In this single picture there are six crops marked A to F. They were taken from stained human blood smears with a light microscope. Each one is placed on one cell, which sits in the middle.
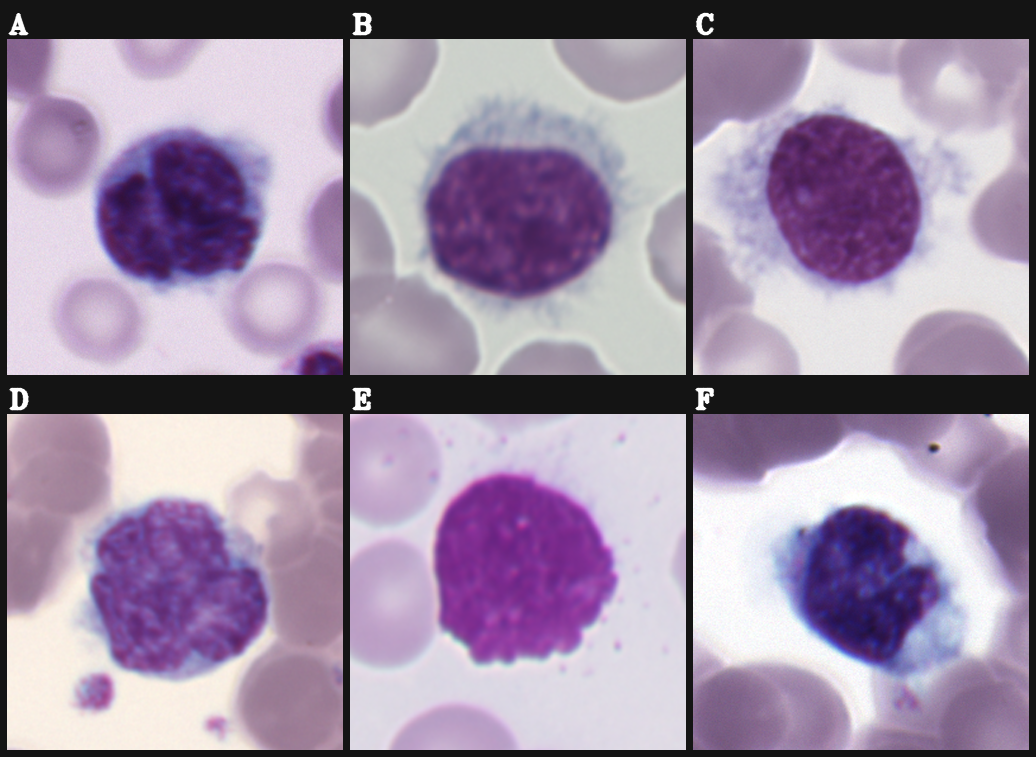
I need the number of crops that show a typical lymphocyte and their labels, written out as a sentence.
Zero, as none of the crops shows typical lymphocytes.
